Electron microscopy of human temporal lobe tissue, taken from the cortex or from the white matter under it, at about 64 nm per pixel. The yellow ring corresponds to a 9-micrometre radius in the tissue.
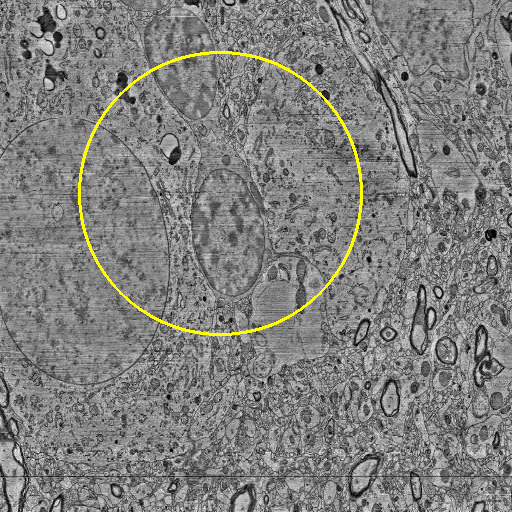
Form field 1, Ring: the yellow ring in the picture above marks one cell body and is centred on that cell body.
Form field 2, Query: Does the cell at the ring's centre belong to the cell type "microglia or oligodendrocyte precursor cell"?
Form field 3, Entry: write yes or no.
no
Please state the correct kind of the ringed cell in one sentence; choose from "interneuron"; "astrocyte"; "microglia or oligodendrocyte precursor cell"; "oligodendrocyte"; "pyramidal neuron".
Instead, the ring surrounds an oligodendrocyte in this picture.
